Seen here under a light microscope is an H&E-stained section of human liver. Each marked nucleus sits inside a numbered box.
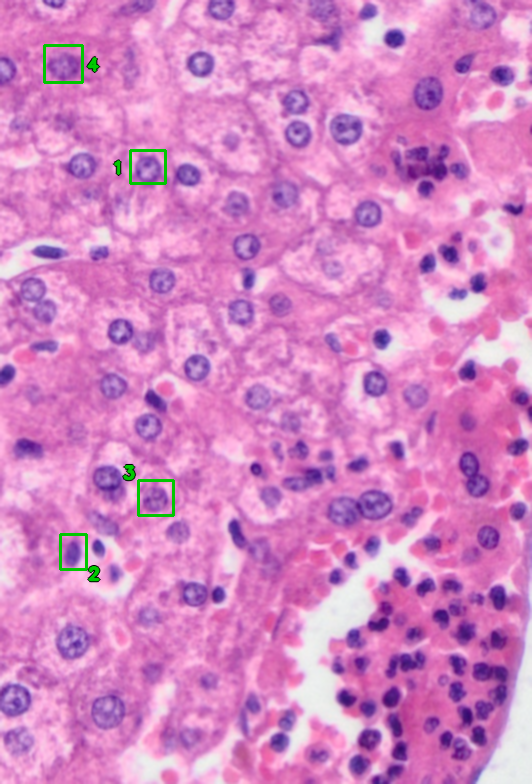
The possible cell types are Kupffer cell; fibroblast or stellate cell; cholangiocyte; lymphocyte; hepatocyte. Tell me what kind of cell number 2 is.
fibroblast or stellate cell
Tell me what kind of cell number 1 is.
hepatocyte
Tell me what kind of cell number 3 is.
hepatocyte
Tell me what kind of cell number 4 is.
hepatocyte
